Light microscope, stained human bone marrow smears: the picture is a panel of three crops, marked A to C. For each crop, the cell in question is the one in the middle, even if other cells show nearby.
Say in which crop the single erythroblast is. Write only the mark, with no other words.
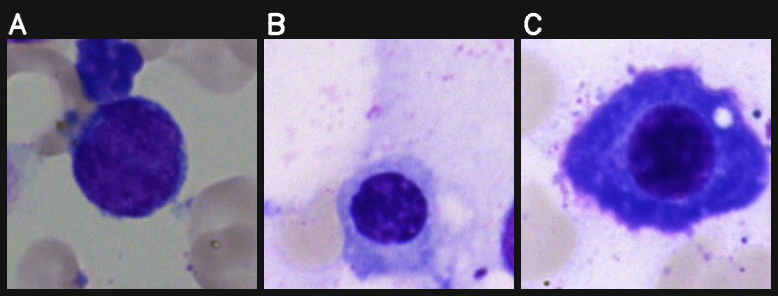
B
